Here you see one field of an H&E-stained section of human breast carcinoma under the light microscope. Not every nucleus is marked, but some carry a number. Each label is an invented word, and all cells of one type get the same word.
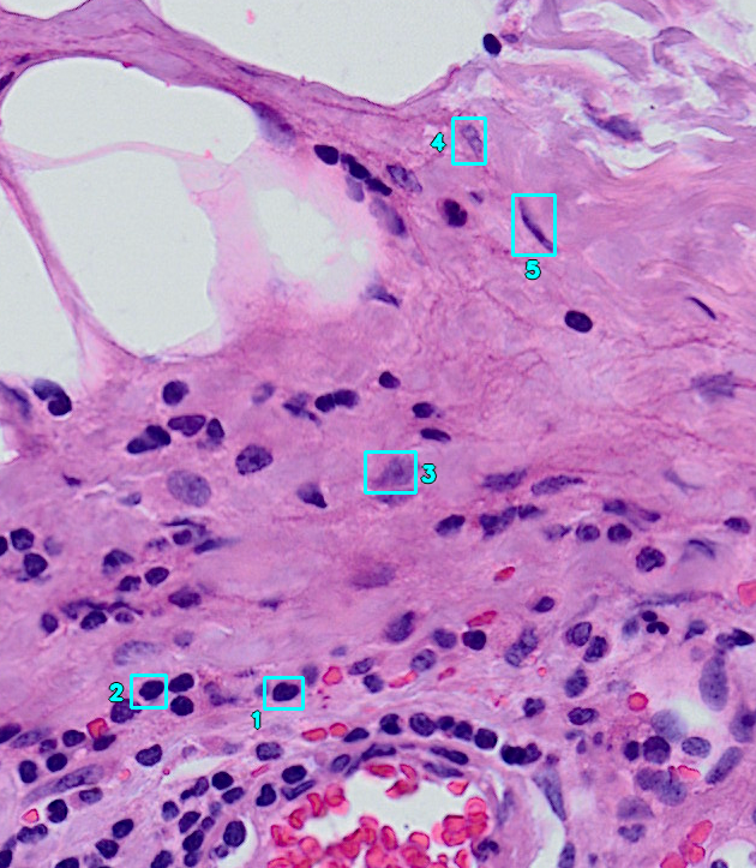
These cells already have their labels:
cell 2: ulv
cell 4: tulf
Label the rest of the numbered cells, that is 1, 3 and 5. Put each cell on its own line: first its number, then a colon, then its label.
1: ulv
3: tulf
5: tulf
